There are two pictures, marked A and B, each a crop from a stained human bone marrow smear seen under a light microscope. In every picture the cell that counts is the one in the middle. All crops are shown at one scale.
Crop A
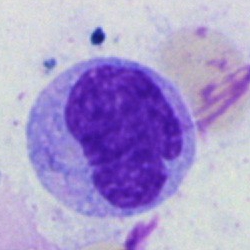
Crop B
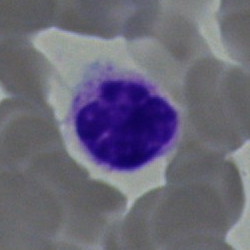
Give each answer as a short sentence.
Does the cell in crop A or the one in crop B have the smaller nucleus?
Smaller is the nucleus in crop B, and the other is about 2 times as large in area.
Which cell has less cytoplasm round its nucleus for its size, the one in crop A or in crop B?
The nucleus fills more of the cell in crop B than in crop A.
